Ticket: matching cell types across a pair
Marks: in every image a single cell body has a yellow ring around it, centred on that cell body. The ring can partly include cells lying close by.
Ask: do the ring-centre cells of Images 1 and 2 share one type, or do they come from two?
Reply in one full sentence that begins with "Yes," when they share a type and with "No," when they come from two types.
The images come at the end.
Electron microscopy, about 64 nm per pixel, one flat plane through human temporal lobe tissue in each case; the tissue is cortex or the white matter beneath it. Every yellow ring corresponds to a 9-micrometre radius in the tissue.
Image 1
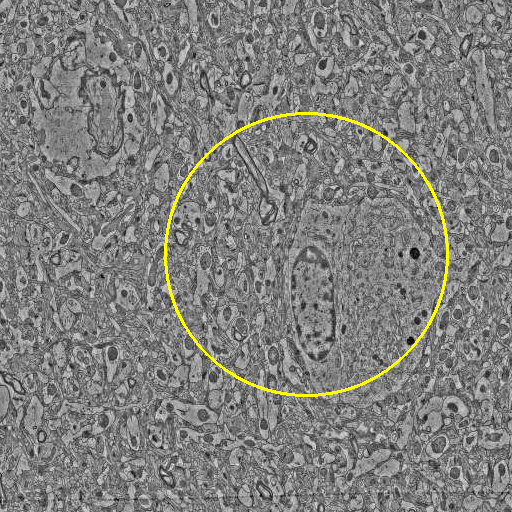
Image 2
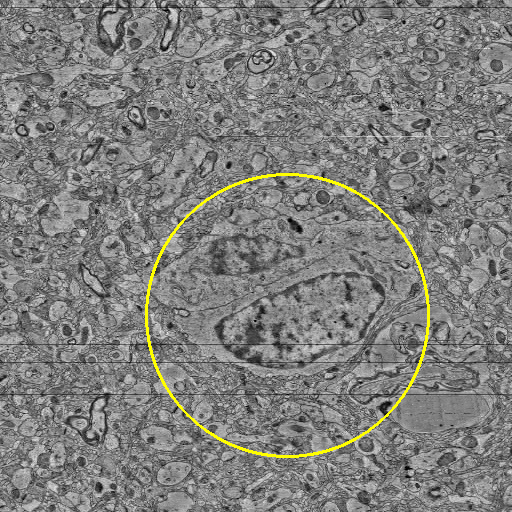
Yes, the cells in the centres of the rings in Image 1 and Image 2 share one type.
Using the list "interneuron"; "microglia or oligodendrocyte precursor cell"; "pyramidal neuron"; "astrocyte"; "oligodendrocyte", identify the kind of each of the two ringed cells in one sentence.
The ring centre holds a microglial cell or oligodendrocyte precursor cell in each of the two pictures.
